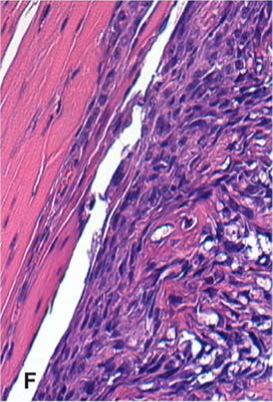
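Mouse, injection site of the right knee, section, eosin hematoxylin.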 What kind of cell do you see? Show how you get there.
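The right part is crowded with spindle-shaped and irregular cells. Their nuclei are dark, enlarged and varied in shape. The cells lie in a pink fibrillar background.
Malignant mesenchymal cells.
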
